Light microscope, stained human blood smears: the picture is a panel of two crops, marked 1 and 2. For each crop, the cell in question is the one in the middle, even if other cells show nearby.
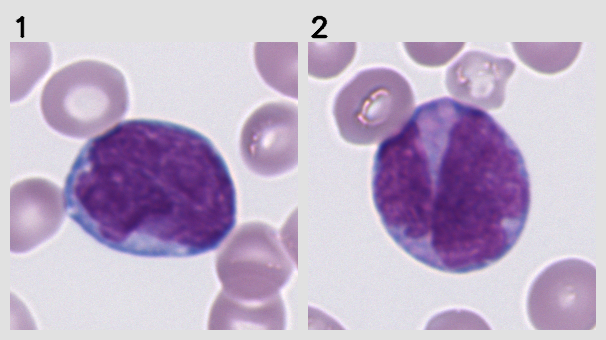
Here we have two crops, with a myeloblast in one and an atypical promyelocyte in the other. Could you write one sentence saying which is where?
Here crop 1 is a myeloblast, and crop 2 is an atypical promyelocyte.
